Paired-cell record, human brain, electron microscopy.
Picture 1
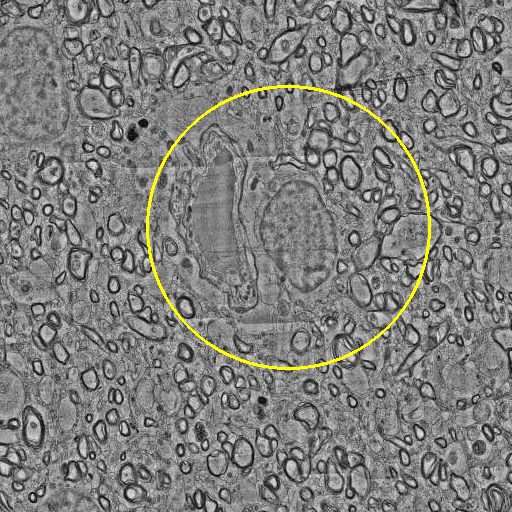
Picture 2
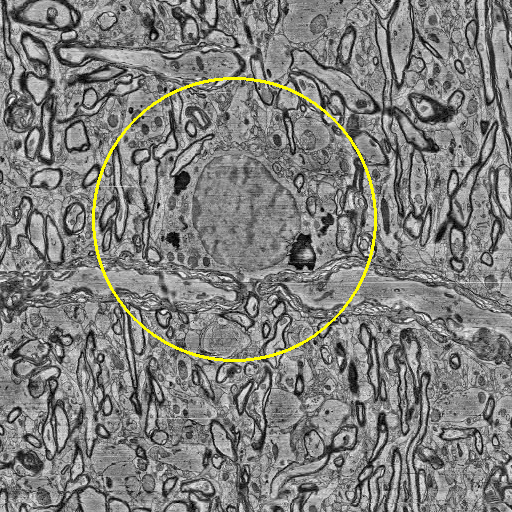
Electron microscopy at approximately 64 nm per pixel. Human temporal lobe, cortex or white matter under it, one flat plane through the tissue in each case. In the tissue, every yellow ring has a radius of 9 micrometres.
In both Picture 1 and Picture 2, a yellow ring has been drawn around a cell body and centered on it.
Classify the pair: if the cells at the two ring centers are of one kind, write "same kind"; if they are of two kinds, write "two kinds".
same kind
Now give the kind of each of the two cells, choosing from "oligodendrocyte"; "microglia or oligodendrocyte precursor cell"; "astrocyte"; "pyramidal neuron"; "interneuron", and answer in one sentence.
The first and the second cell are each an oligodendrocyte.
